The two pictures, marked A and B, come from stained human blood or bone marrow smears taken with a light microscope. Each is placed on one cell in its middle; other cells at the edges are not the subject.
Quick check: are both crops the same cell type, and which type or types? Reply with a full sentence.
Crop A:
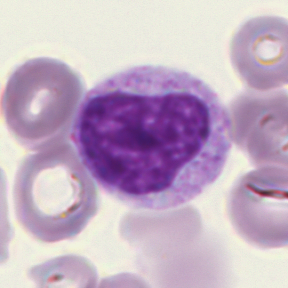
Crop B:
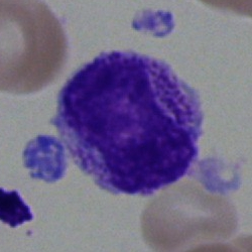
Yes, that holds, both crops show metamyelocytes.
